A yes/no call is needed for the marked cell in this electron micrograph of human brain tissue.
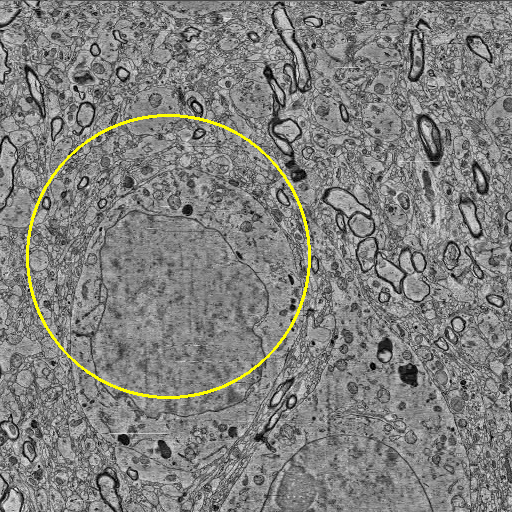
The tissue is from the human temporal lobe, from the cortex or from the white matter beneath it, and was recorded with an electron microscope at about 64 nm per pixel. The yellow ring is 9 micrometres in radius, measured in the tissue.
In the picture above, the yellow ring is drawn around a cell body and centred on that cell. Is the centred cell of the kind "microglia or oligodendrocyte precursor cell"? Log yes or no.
no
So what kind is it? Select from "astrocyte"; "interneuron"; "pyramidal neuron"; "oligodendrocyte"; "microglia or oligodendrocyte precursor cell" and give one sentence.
What the ring is centred on is a pyramidal neuron.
